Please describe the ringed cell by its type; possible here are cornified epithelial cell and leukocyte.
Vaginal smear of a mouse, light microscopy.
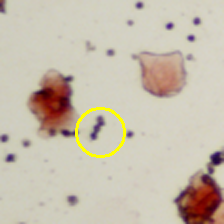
The yellow ring marks a leukocyte.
